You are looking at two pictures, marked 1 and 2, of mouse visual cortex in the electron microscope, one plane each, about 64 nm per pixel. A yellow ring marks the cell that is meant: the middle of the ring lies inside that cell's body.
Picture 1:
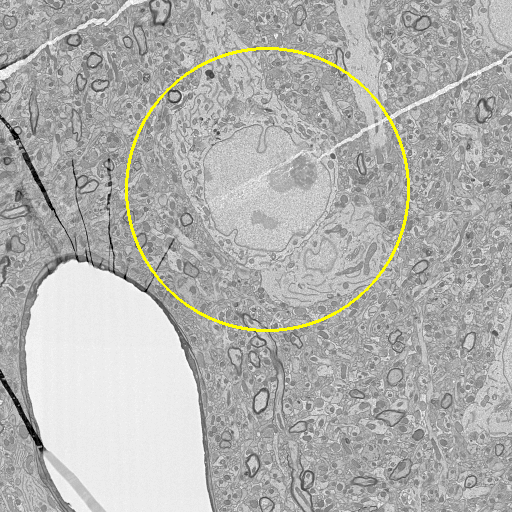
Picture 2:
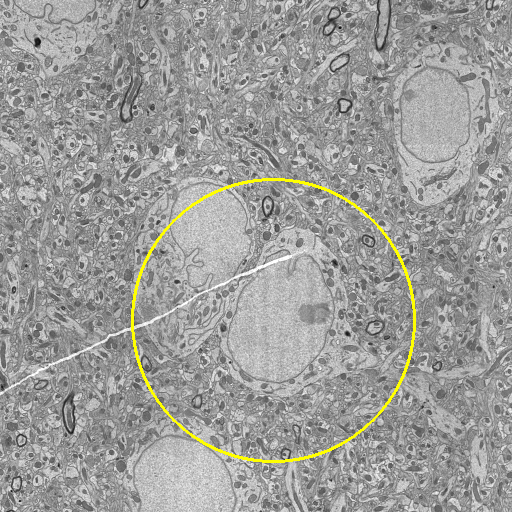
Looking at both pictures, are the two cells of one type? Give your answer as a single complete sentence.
No, they differ: the cell is an inhibitory neuron in picture 1 and an excitatory neuron in picture 2.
